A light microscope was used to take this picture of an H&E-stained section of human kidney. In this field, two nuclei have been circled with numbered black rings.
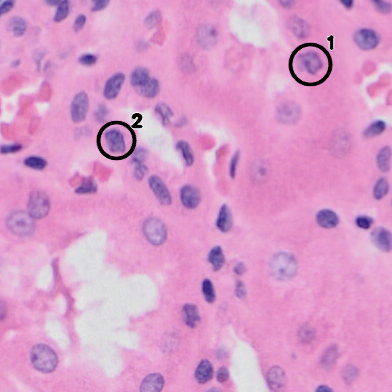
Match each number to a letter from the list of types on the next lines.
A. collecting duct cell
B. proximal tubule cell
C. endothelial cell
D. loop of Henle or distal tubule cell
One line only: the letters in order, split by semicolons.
B; A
